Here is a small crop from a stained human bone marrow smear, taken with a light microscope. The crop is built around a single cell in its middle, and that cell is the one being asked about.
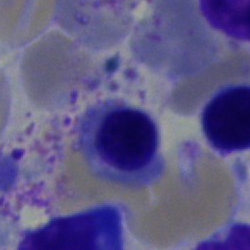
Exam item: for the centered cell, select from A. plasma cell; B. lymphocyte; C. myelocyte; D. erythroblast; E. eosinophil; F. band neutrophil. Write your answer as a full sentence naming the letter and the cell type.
The central cell, an erythroblast, is correctly identified by option D.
